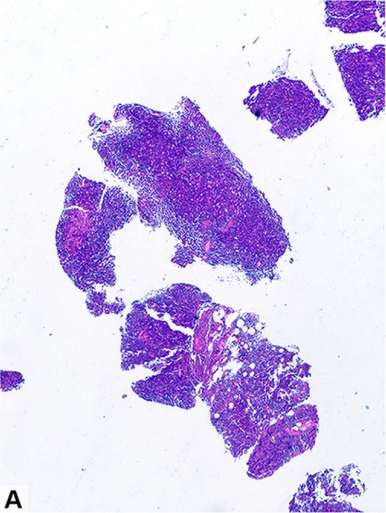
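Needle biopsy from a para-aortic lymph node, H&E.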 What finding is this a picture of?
diffuse infiltration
